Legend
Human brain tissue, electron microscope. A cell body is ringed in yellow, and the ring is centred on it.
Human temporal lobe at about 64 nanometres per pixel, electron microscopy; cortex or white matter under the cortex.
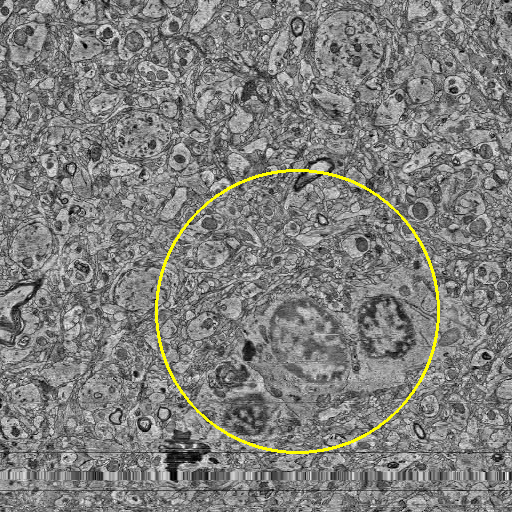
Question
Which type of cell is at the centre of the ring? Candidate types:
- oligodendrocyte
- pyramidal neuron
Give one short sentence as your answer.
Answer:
The yellow ring is centred here on an oligodendrocyte.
